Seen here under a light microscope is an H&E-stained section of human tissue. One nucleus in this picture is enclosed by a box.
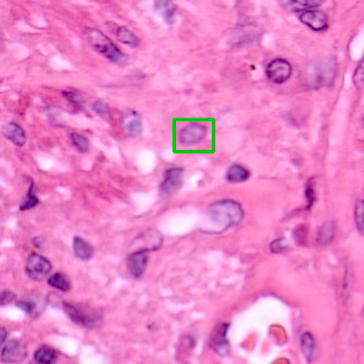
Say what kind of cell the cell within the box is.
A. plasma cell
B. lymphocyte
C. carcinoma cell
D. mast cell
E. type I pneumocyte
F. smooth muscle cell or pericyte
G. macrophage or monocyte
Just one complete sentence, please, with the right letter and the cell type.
Option D is the correct one: the cell within the box is a mast cell.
